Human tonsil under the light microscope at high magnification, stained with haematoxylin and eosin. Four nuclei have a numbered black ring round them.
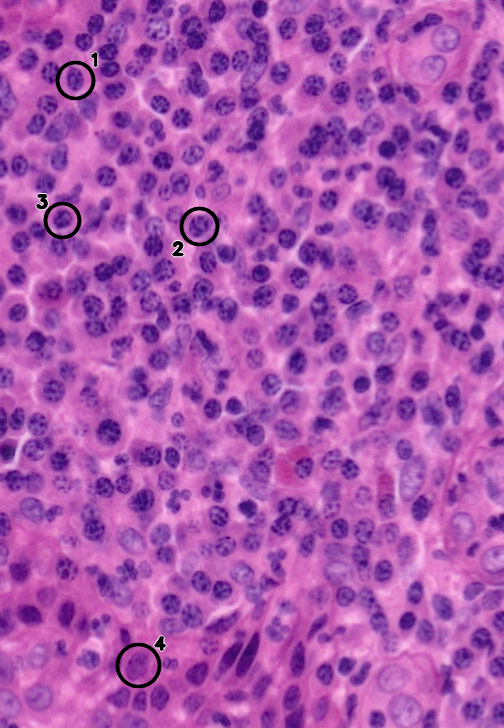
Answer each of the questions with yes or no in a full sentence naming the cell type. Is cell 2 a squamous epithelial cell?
No, number 2 points to a plasma cell and not to a squamous epithelial cell.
